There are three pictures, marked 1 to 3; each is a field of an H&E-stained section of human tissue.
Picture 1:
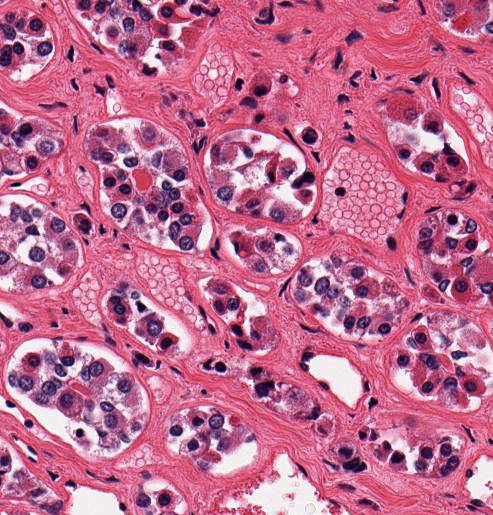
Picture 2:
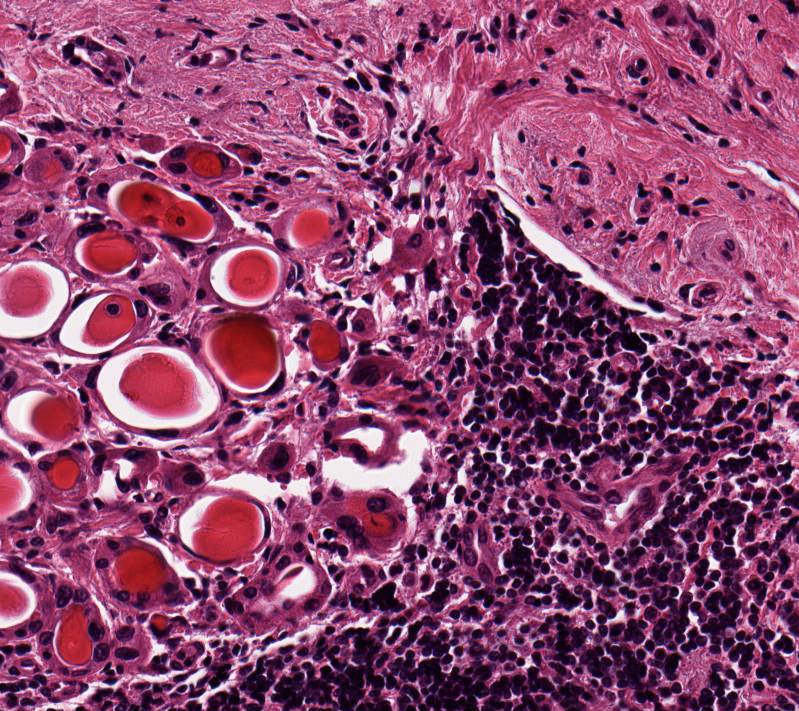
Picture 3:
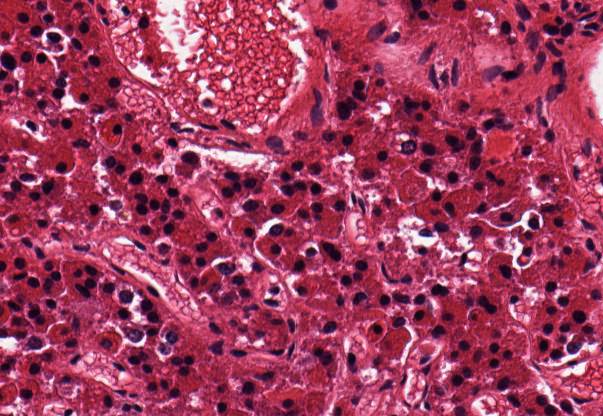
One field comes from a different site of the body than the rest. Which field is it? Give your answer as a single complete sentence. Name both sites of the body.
Unlike the rest, which come from the pituitary, picture 2 comes from the thyroid.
